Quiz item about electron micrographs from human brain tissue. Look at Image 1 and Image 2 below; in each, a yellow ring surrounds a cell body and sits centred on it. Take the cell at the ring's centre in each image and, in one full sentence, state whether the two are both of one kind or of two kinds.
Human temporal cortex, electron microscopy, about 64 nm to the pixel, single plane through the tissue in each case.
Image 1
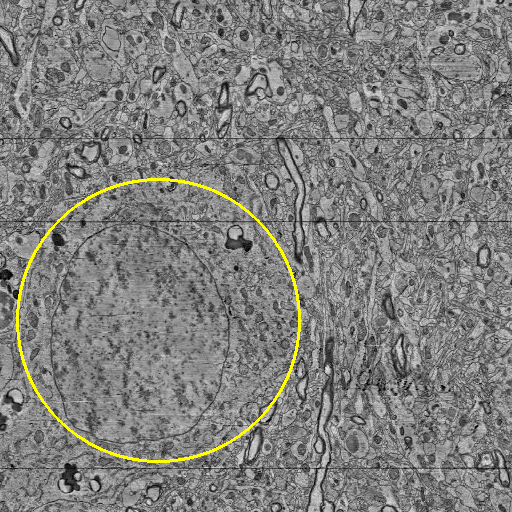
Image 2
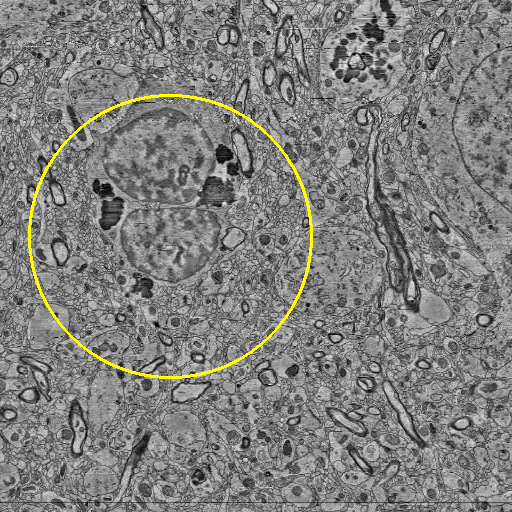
In Image 1 and Image 2, the cells at the ring centres are of two kinds.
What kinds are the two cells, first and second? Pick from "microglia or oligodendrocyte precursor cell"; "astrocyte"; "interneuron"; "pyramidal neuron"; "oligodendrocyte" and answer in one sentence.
The second picture holds an oligodendrocyte in its ring, and the first holds a pyramidal neuron.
